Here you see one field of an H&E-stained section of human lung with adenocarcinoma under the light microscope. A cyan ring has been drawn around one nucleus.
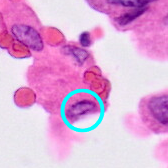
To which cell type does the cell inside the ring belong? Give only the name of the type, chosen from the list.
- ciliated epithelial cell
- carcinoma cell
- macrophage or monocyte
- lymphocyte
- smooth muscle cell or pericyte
macrophage or monocyte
